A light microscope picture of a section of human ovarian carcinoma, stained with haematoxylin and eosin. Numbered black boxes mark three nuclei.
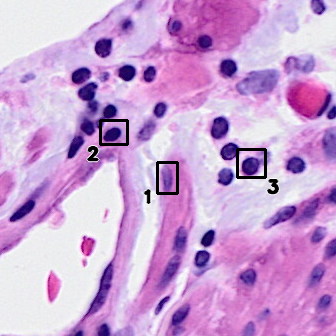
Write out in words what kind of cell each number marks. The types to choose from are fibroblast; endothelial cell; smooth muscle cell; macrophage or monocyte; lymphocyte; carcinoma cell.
Cell 1 is a smooth muscle cell, cell 2 is a lymphocyte and cell 3 is a lymphocyte.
